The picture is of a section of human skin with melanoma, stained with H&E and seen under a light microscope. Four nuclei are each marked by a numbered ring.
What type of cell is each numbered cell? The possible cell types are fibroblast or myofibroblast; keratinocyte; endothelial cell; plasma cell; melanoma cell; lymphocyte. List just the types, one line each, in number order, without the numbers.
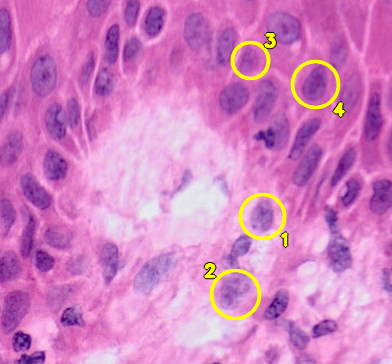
fibroblast or myofibroblast
fibroblast or myofibroblast
keratinocyte
keratinocyte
